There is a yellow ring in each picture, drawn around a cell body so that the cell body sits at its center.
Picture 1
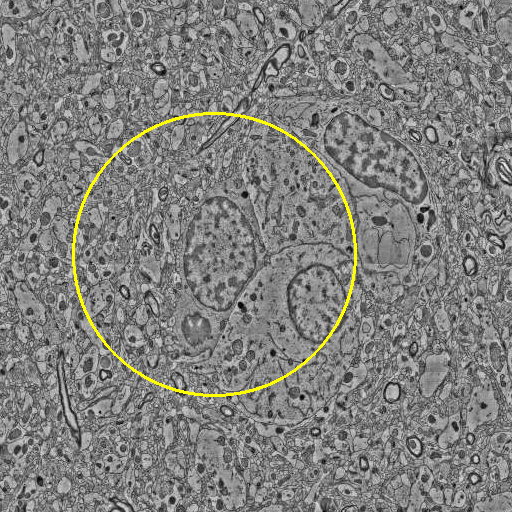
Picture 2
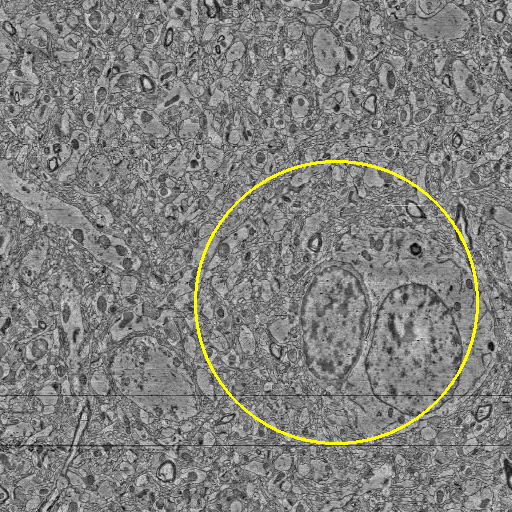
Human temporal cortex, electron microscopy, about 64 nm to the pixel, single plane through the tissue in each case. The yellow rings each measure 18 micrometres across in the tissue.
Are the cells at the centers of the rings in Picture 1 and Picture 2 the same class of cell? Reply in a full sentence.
Yes, the two cells are the same class of cell.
